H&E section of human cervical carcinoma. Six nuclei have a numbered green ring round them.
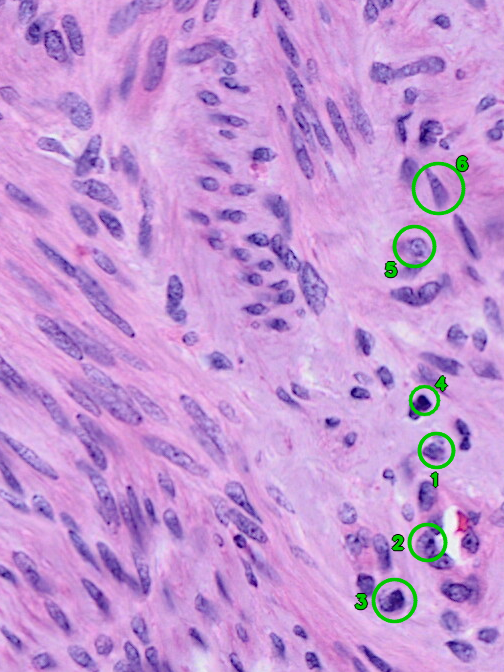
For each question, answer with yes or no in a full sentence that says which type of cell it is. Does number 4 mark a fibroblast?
No, instead of a fibroblast, the cell with number 4 is a lymphocyte.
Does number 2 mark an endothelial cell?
Yes, number 2 marks a cell that is an endothelial cell.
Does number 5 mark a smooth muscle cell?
Yes, the cell given number 5 is a smooth muscle cell.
